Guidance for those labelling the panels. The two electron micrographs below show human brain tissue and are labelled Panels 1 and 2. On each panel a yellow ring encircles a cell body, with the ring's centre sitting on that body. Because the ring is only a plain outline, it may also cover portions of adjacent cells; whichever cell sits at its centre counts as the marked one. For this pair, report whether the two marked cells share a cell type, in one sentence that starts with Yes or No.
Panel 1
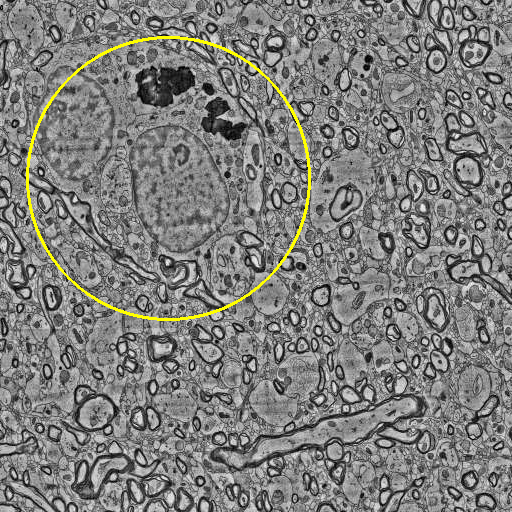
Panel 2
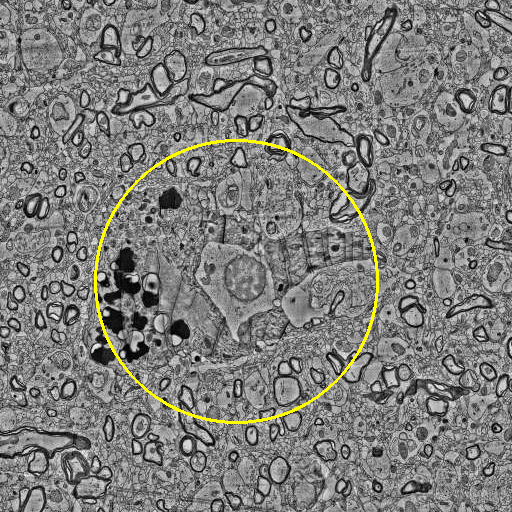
Yes, in Panel 1 and Panel 2 the marked cells at the ring centres share one type.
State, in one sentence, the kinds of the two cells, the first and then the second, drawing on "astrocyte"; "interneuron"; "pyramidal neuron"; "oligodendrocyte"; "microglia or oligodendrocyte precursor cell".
Each of the ringed cells, first and second, is an oligodendrocyte.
